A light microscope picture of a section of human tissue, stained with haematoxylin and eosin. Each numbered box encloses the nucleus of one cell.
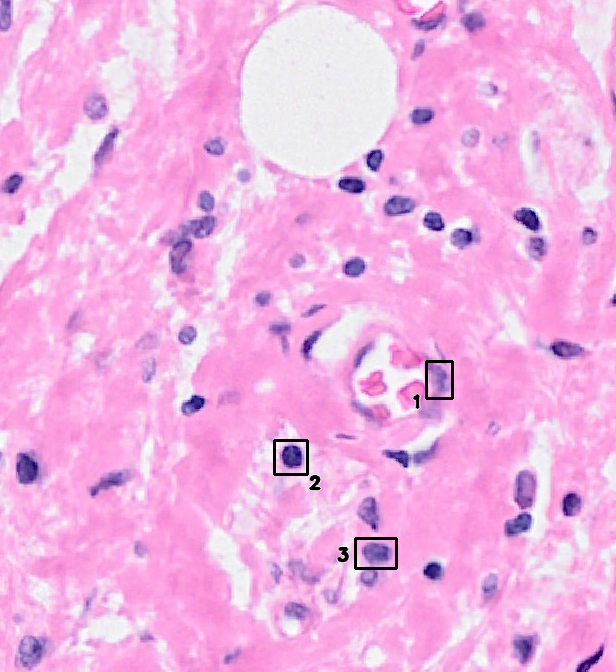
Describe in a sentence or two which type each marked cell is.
Cell 1 is an endothelial cell, cell 2 is a lymphocyte and cell 3 is a lymphocyte.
